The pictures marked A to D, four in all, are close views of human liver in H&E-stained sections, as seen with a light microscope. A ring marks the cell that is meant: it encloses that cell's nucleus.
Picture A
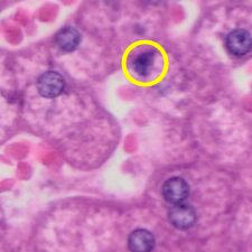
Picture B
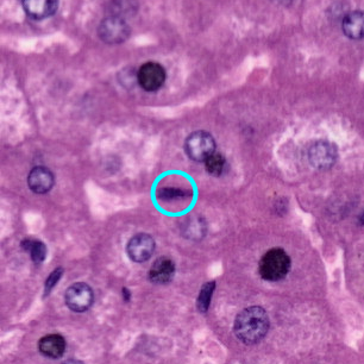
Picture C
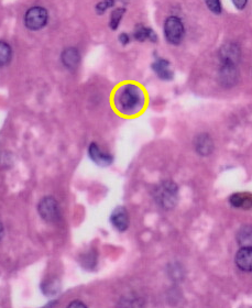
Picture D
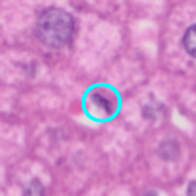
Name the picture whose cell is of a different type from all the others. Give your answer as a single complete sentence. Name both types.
Picture D is the odd one out: it shows an endothelial cell, while the others show “fibroblasts or stellate cells”.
